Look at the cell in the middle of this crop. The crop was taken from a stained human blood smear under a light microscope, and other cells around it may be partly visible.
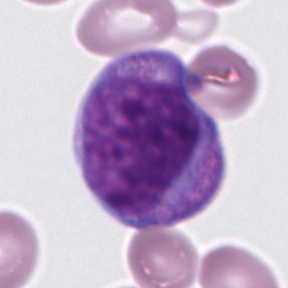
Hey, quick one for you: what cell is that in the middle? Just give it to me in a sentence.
The middle of this crop is occupied by an atypical promyelocyte.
